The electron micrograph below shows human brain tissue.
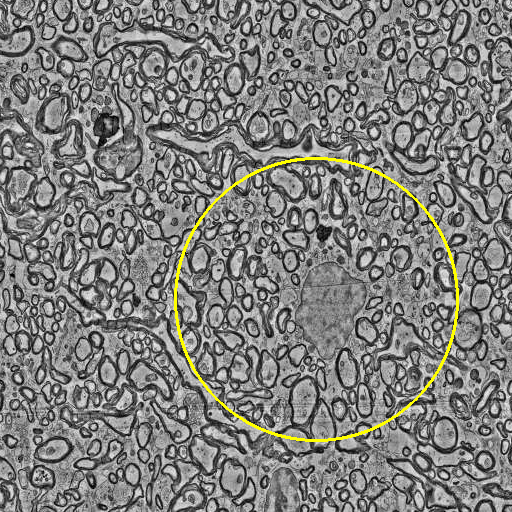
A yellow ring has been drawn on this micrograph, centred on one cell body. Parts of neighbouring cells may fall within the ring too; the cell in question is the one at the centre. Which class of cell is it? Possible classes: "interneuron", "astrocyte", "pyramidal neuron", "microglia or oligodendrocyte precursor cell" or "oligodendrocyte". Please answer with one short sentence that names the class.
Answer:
In the centre of the ring sits an oligodendrocyte.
